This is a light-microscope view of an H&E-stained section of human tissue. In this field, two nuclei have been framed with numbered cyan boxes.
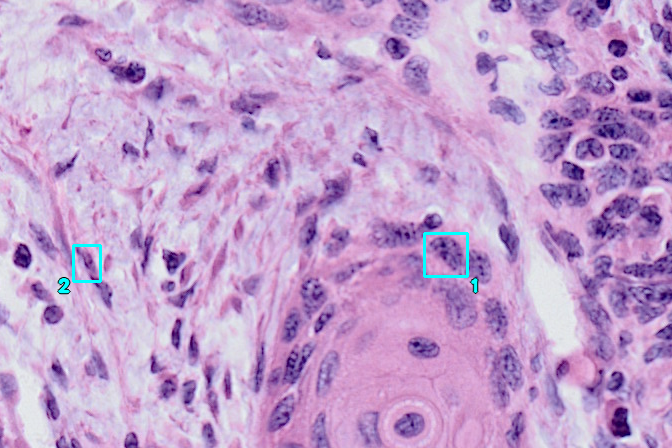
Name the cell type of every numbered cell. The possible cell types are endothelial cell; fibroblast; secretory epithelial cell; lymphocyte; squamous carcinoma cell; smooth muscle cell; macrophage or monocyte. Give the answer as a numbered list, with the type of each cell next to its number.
1. squamous carcinoma cell
2. fibroblast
